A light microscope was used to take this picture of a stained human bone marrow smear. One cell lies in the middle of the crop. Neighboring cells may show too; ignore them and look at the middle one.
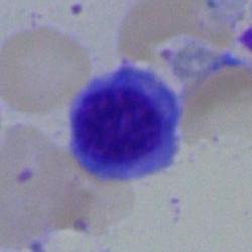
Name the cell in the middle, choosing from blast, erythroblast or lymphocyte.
erythroblast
